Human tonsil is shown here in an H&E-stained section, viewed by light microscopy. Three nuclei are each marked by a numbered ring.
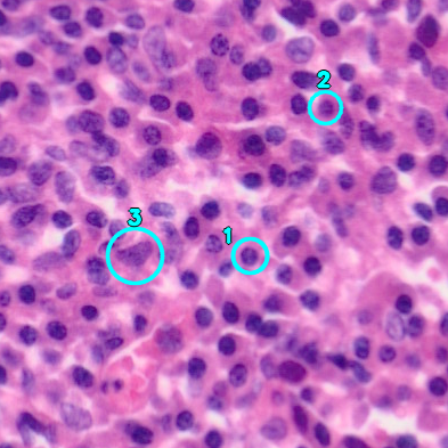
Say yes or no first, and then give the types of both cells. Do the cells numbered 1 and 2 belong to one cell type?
Yes, in this section cells 1 and 2 are both plasma cells.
